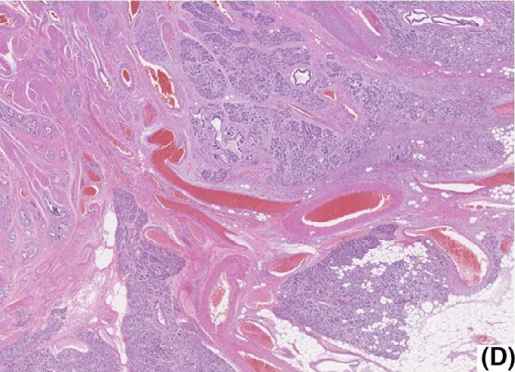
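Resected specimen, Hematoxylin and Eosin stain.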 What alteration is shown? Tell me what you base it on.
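A cluster of many large, irregularly shaped vessels. Some vessels have thick pink walls and others thin walls. Lumens are dilated and filled with red blood. Lobules of purple glandular tissue lie between the vessels.
Hence: Conglomeration of irregular dilated and tortuous arteries and veins.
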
